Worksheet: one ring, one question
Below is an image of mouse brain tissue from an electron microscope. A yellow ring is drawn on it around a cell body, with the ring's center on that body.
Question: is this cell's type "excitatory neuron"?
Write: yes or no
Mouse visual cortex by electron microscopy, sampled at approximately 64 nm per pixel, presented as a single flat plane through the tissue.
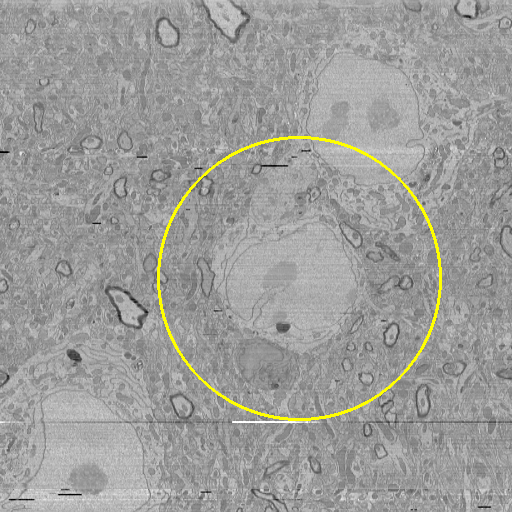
yes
